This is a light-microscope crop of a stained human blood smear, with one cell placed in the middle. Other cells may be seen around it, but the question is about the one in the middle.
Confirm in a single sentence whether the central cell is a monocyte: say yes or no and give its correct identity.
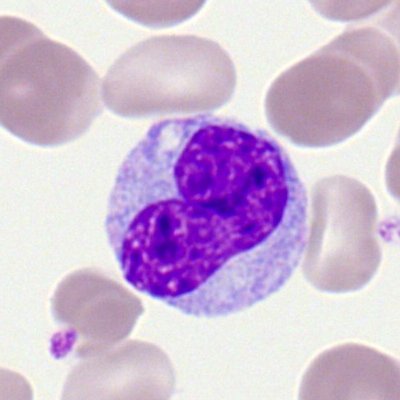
Yes, it is a monocyte that occupies the centre of the crop.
